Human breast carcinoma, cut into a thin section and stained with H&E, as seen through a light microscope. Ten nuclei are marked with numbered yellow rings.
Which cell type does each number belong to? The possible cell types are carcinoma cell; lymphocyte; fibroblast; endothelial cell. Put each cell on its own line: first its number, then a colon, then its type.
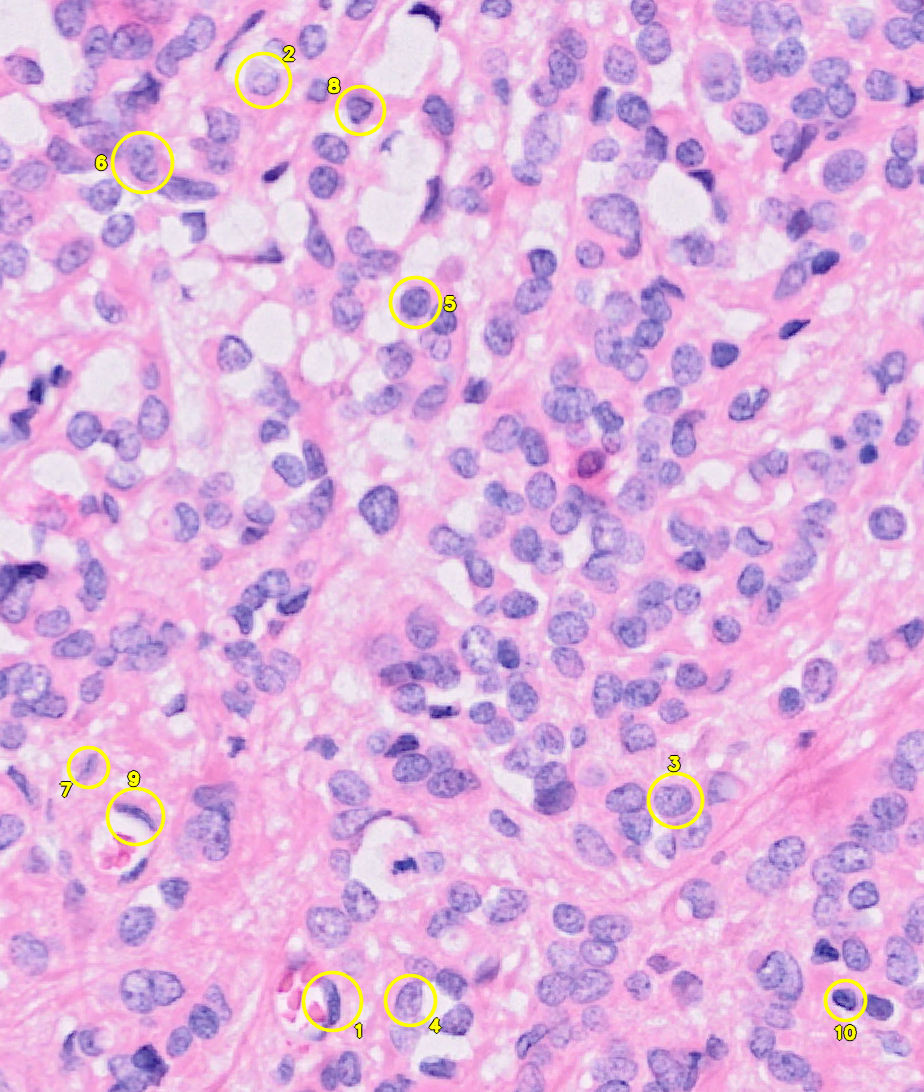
1: endothelial cell
2: carcinoma cell
3: carcinoma cell
4: carcinoma cell
5: carcinoma cell
6: carcinoma cell
7: fibroblast
8: carcinoma cell
9: endothelial cell
10: lymphocyte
